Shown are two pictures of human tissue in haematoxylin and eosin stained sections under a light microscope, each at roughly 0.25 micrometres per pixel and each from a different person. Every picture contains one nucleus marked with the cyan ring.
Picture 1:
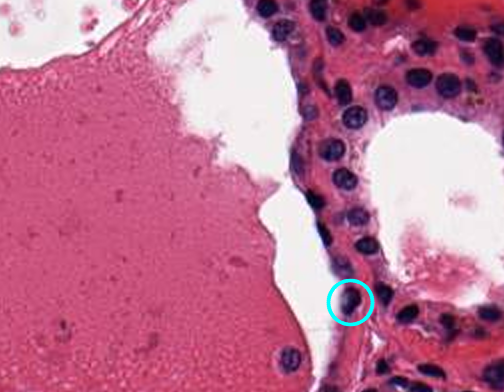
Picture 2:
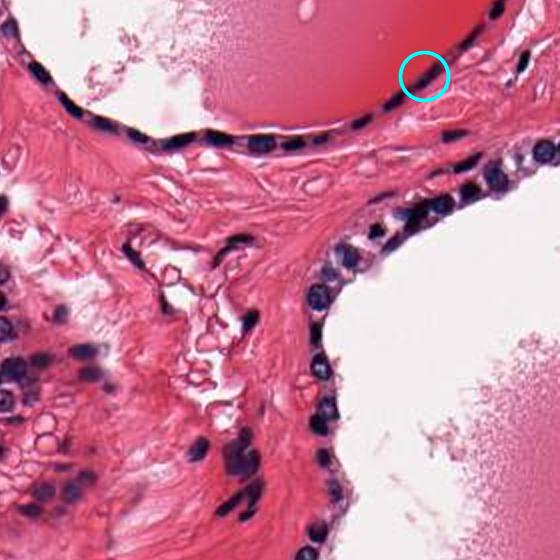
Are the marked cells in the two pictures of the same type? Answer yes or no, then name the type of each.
Yes, both are thyroid follicular cells.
